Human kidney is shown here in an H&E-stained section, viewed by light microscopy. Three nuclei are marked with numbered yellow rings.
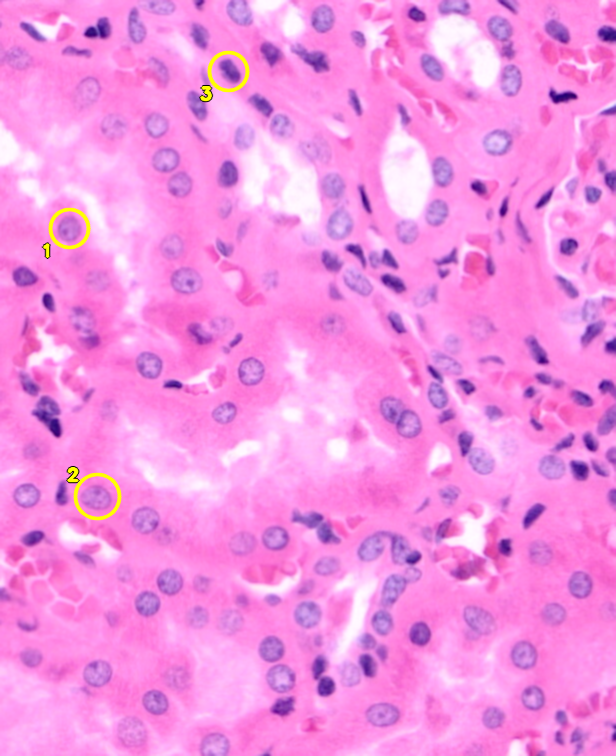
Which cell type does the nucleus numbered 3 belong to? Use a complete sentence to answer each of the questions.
It is as a collecting duct cell that the cell numbered 3 is identified.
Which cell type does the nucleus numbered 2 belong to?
The numbered cell 2 in this field is a proximal tubule cell.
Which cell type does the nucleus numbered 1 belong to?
The cell identified by the number 1 is a proximal tubule cell.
